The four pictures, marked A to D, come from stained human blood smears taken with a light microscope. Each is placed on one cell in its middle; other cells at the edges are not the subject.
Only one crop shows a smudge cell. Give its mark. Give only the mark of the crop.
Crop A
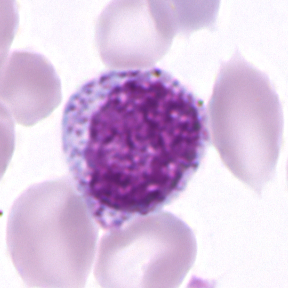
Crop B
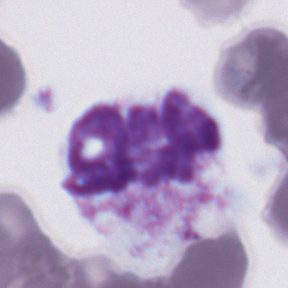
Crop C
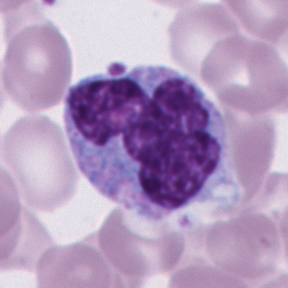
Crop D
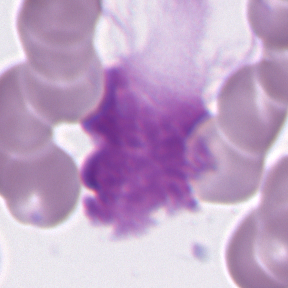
D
